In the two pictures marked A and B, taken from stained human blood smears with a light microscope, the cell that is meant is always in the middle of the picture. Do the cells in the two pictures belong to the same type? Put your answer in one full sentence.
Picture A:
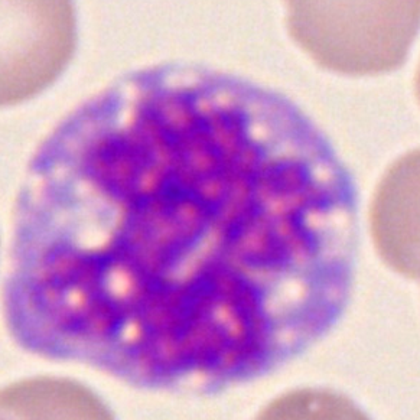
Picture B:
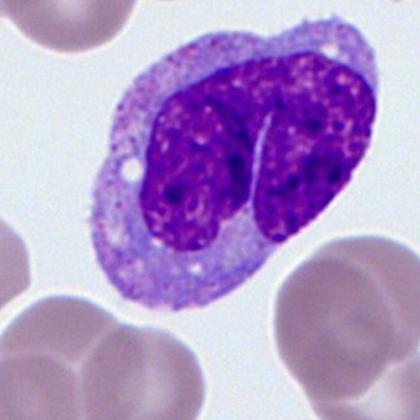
Yes, the two pictures both show monocytes.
